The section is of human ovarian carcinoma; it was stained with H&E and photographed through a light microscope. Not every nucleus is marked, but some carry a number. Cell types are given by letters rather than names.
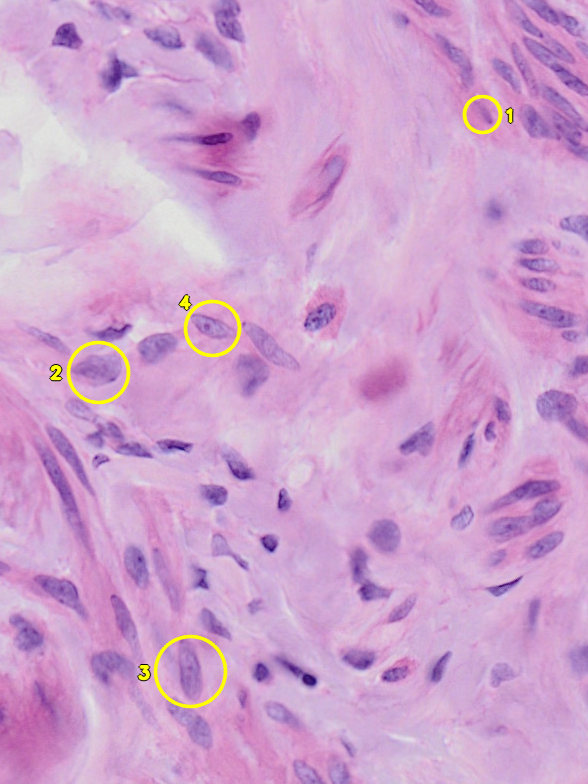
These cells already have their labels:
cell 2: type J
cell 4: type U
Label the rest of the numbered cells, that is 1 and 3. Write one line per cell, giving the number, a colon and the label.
1: type U
3: type U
